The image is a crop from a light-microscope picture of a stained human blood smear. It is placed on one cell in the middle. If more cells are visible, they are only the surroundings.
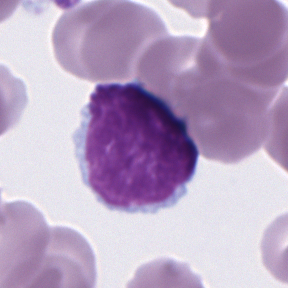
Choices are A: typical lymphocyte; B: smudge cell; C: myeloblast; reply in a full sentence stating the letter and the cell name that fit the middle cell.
The central cell of the crop is a typical lymphocyte, which makes A the correct option.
